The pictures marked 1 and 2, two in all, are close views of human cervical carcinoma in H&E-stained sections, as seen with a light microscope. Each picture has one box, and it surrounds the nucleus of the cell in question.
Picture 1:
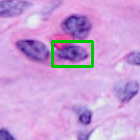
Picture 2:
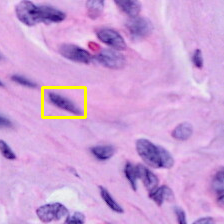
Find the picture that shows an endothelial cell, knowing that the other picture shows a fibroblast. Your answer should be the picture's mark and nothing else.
1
